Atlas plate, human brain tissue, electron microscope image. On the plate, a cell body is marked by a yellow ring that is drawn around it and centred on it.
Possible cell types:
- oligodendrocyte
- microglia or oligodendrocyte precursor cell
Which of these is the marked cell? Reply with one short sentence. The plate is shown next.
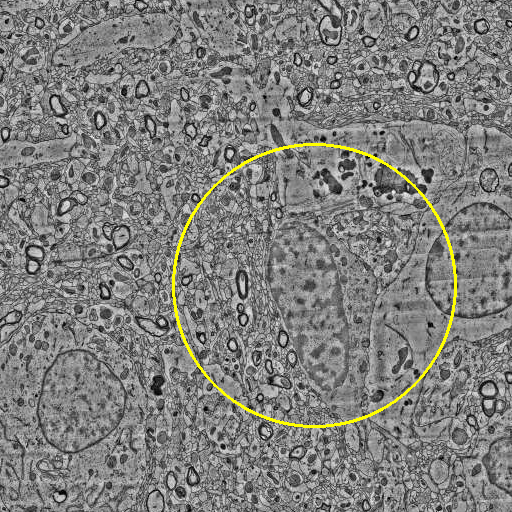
The marked cell is an oligodendrocyte.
